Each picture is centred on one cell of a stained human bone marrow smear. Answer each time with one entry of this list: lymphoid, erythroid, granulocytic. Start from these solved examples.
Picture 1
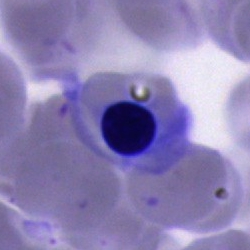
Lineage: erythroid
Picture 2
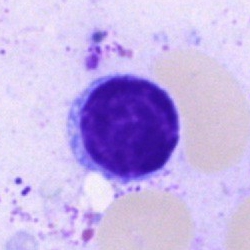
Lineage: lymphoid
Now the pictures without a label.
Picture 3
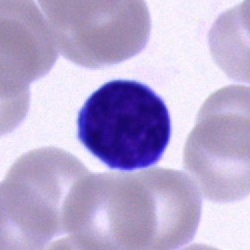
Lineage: lymphoid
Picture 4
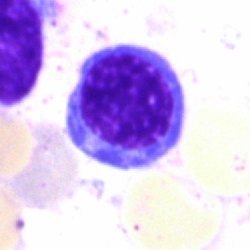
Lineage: erythroid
